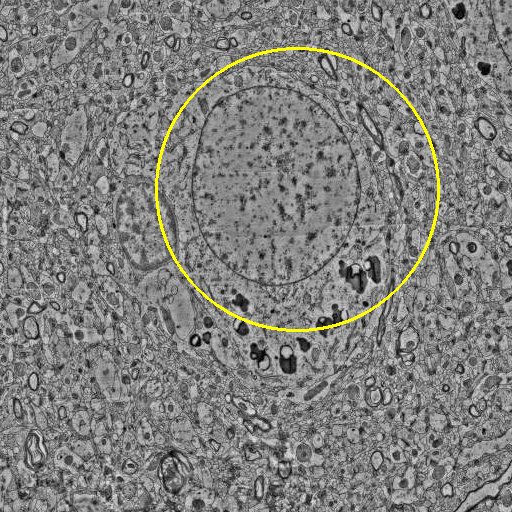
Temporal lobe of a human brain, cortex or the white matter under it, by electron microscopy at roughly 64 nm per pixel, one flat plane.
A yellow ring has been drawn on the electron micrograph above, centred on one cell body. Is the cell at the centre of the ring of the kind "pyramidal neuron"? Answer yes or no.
yes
